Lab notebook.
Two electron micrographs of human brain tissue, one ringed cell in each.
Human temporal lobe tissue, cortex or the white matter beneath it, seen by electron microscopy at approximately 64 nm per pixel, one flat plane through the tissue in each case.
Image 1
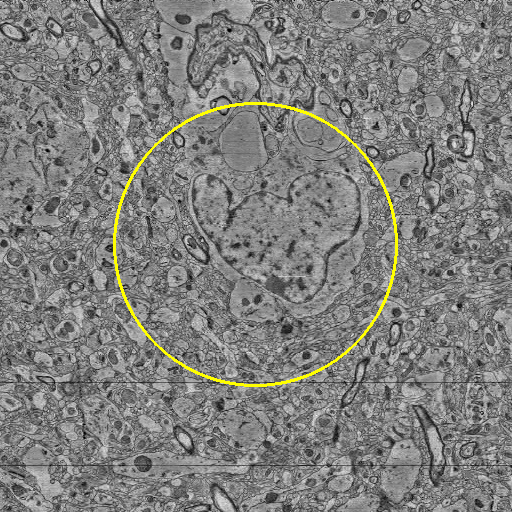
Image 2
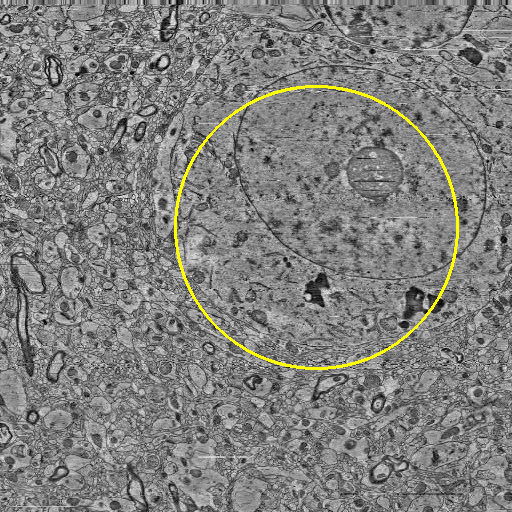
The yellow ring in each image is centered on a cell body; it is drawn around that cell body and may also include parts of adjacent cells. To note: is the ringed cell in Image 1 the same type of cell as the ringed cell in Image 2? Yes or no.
no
